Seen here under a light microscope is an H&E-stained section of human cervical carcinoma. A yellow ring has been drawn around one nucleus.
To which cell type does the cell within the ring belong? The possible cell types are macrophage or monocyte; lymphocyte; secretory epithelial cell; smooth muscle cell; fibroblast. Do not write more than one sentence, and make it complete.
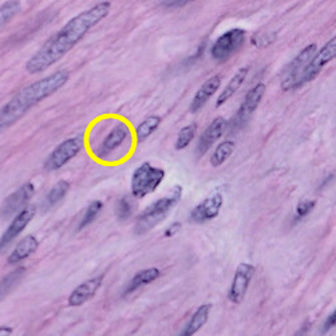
The cell type represented by the cell within the ring is that of a smooth muscle cell.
